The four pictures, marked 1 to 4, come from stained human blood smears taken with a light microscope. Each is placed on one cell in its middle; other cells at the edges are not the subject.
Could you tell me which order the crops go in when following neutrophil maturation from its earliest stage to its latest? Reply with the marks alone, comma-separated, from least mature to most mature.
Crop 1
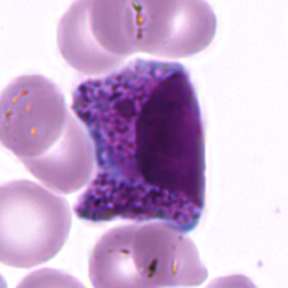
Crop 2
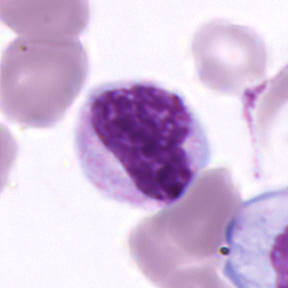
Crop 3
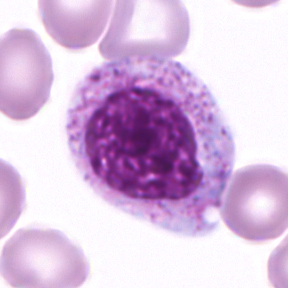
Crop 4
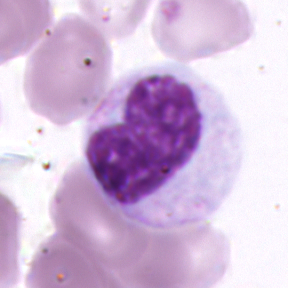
1, 3, 4, 2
